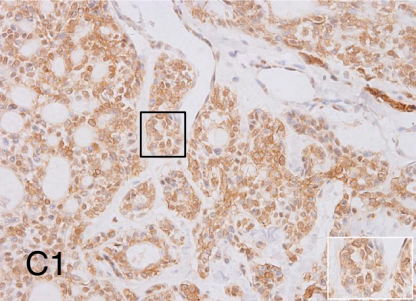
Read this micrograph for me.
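This is a carcinoma in which epithelial tumour cells form islands perforated by numerous round, clear spaces, giving a sieve-like cribriform architecture. The tumour cells are small to medium sized with round to oval blue nuclei and a moderate rim of cytoplasm. The cytoplasm of the tumour cells shows a moderate, fairly even light brown stain. The islands are separated by thin bands of paler fibrous stroma containing scattered spindle-shaped cells. The round spaces within the nests appear empty or contain pale material.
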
